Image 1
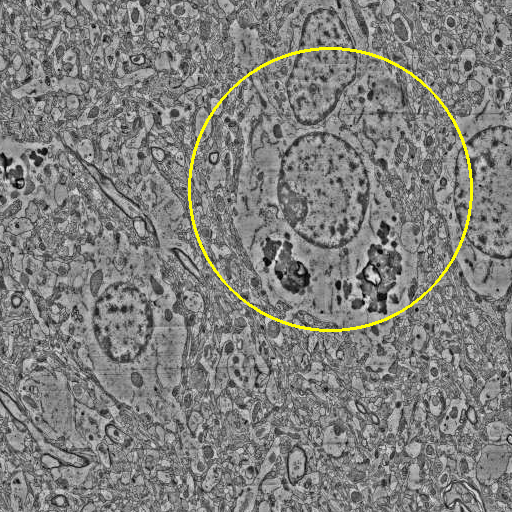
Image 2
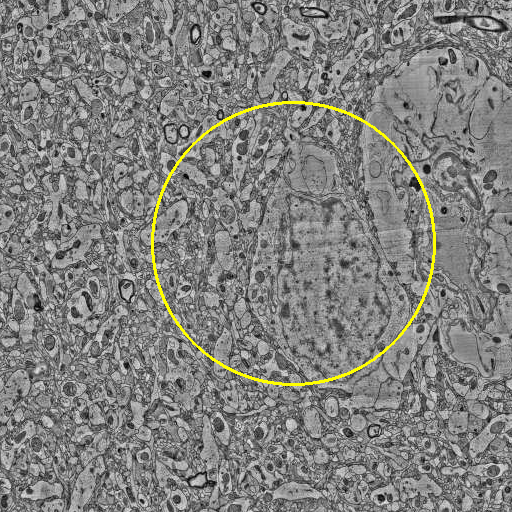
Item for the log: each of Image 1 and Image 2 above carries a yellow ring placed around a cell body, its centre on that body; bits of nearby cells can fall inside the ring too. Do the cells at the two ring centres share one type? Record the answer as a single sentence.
No, the two cells at the ring centres in Image 1 and Image 2 are of two types.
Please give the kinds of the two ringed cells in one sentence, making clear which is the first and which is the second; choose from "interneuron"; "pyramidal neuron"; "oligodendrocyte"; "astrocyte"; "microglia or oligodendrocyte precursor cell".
In the second picture the ringed cell is an interneuron; in the first it is an astrocyte.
